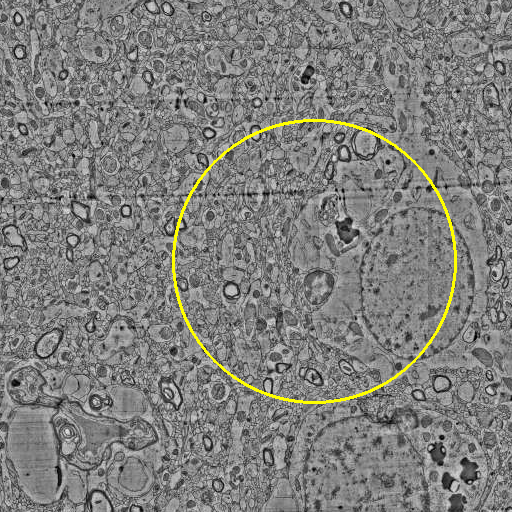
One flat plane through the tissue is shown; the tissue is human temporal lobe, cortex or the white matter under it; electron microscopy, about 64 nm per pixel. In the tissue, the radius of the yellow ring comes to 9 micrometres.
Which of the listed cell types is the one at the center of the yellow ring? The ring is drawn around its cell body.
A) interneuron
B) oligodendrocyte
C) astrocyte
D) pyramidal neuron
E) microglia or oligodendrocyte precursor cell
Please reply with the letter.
E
